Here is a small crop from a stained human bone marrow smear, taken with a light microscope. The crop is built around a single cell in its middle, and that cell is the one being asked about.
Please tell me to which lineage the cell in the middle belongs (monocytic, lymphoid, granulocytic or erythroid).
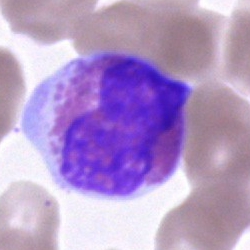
granulocytic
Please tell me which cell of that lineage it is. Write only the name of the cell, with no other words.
eosinophil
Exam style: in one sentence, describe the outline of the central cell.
Expected answer: a smooth cell outline without projections of any sort.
